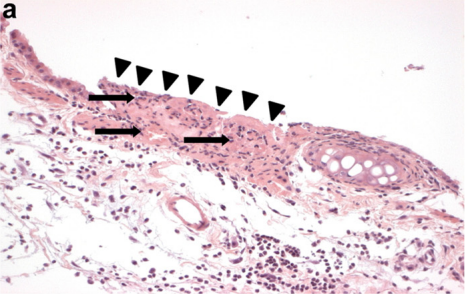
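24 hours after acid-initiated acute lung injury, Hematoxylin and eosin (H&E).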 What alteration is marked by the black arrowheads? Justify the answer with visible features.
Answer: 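Epithelial cell disrupture. The surface lining under the arrowheads is thin and irregular rather than a continuous layer of cells. Beneath the arrowheads lies a pink band with few intact lining cells.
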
